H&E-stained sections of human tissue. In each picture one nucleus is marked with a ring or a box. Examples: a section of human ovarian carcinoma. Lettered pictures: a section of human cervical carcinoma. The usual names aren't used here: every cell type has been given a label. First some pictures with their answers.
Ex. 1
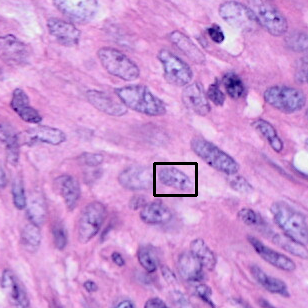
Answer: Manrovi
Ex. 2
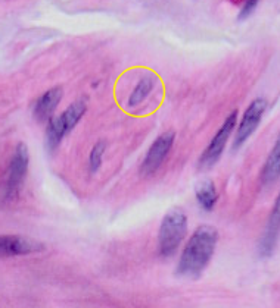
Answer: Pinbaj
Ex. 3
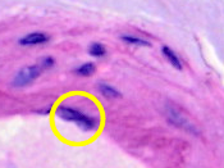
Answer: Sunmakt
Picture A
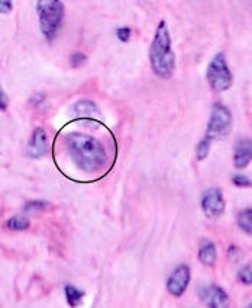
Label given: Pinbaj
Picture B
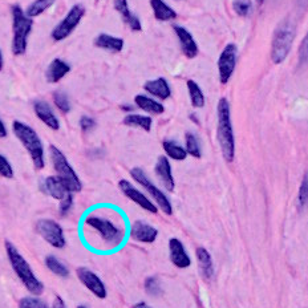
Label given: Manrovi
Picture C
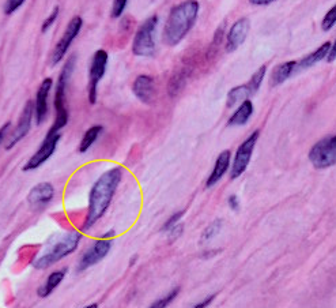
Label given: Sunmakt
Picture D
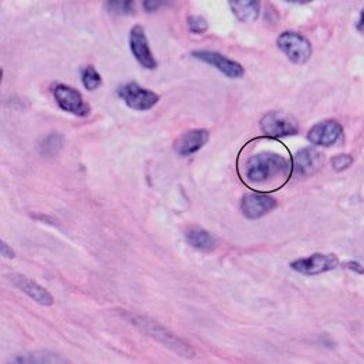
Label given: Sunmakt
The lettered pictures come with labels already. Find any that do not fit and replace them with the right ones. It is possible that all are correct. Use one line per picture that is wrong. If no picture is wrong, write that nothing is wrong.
A is labelled Pinbaj; correct label: Sunmakt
